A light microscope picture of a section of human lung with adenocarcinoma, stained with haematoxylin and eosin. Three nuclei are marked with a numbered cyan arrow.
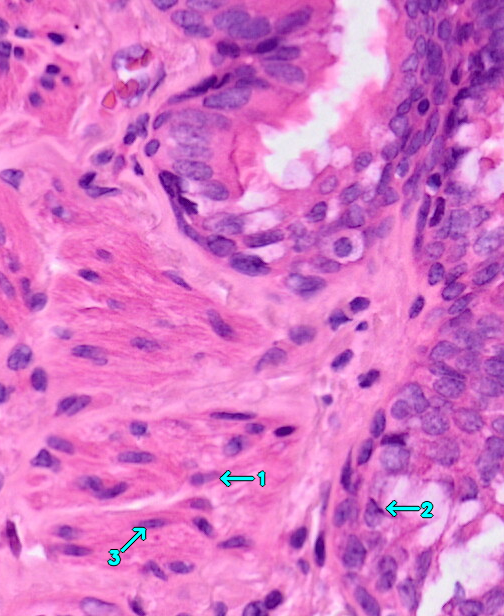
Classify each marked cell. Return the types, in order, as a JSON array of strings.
["smooth muscle cell or pericyte", "ciliated epithelial cell", "smooth muscle cell or pericyte"]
